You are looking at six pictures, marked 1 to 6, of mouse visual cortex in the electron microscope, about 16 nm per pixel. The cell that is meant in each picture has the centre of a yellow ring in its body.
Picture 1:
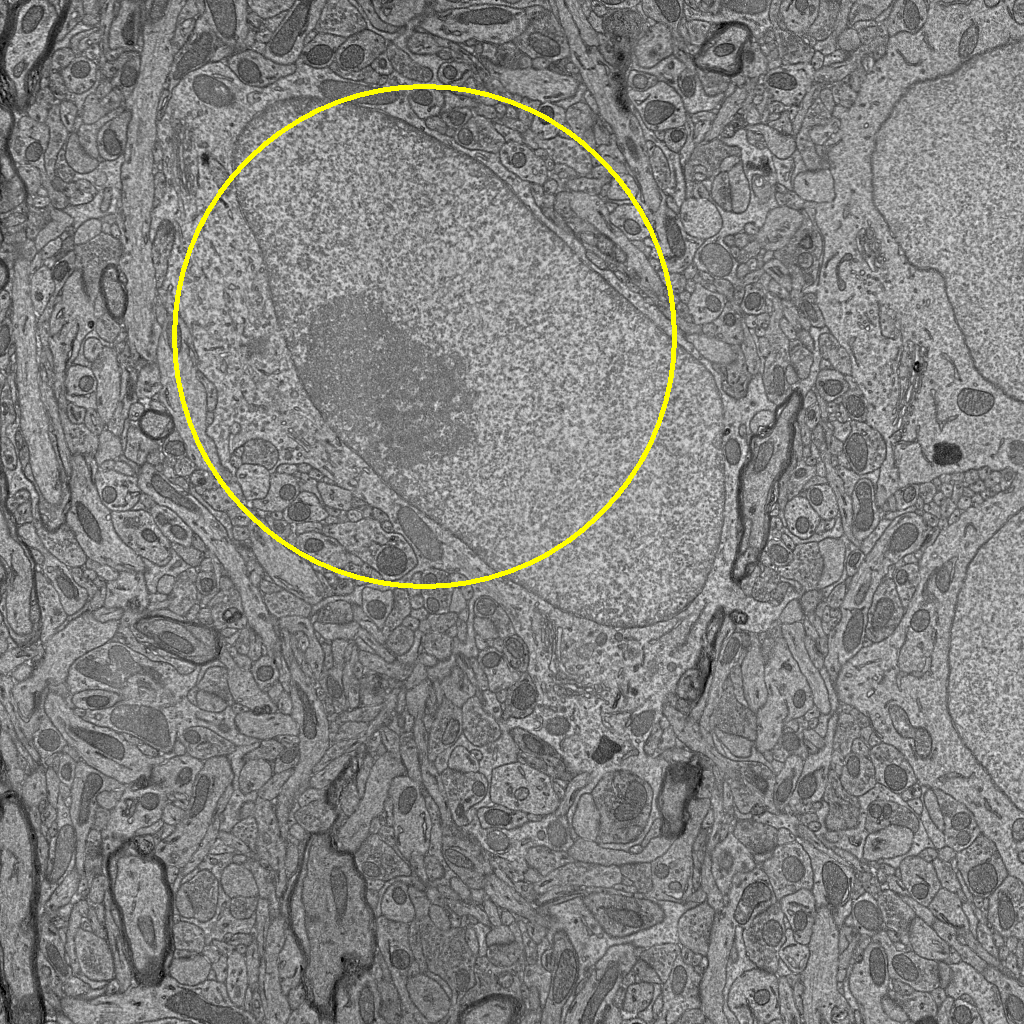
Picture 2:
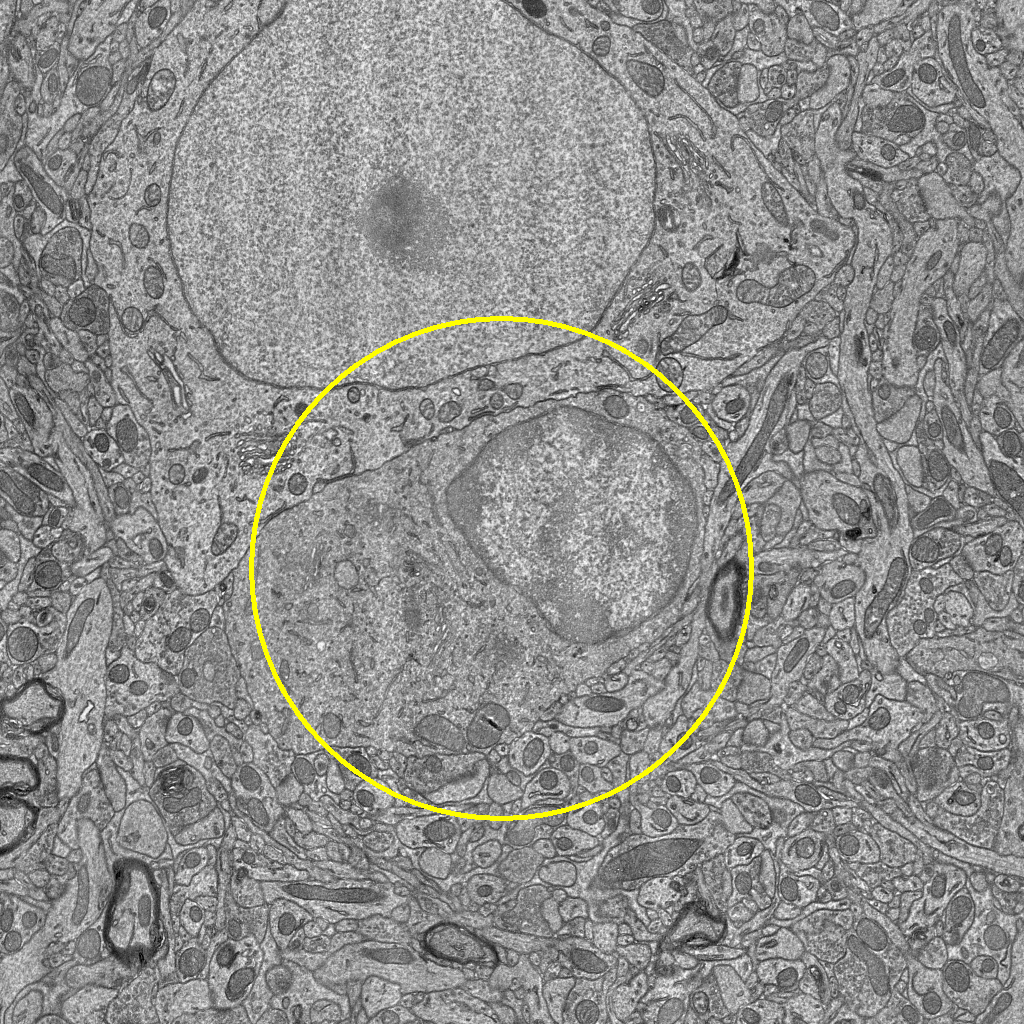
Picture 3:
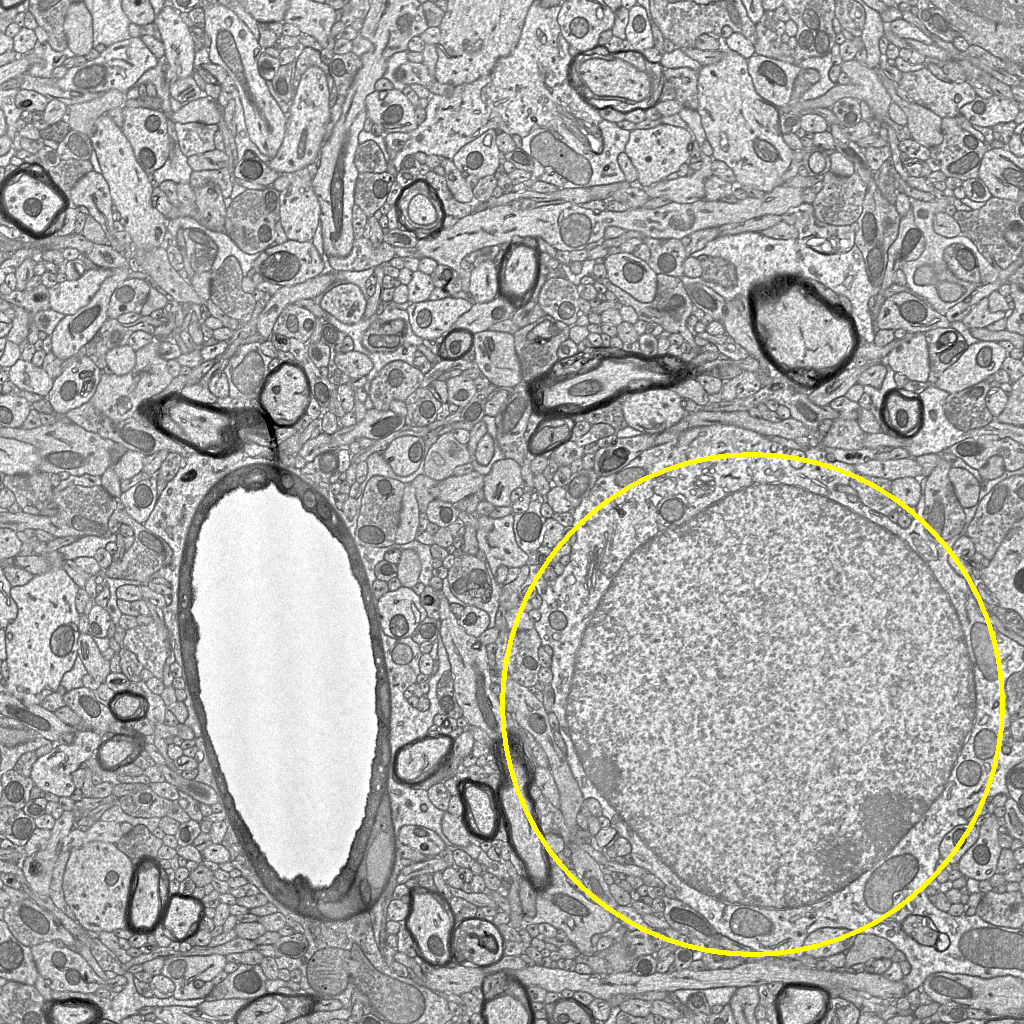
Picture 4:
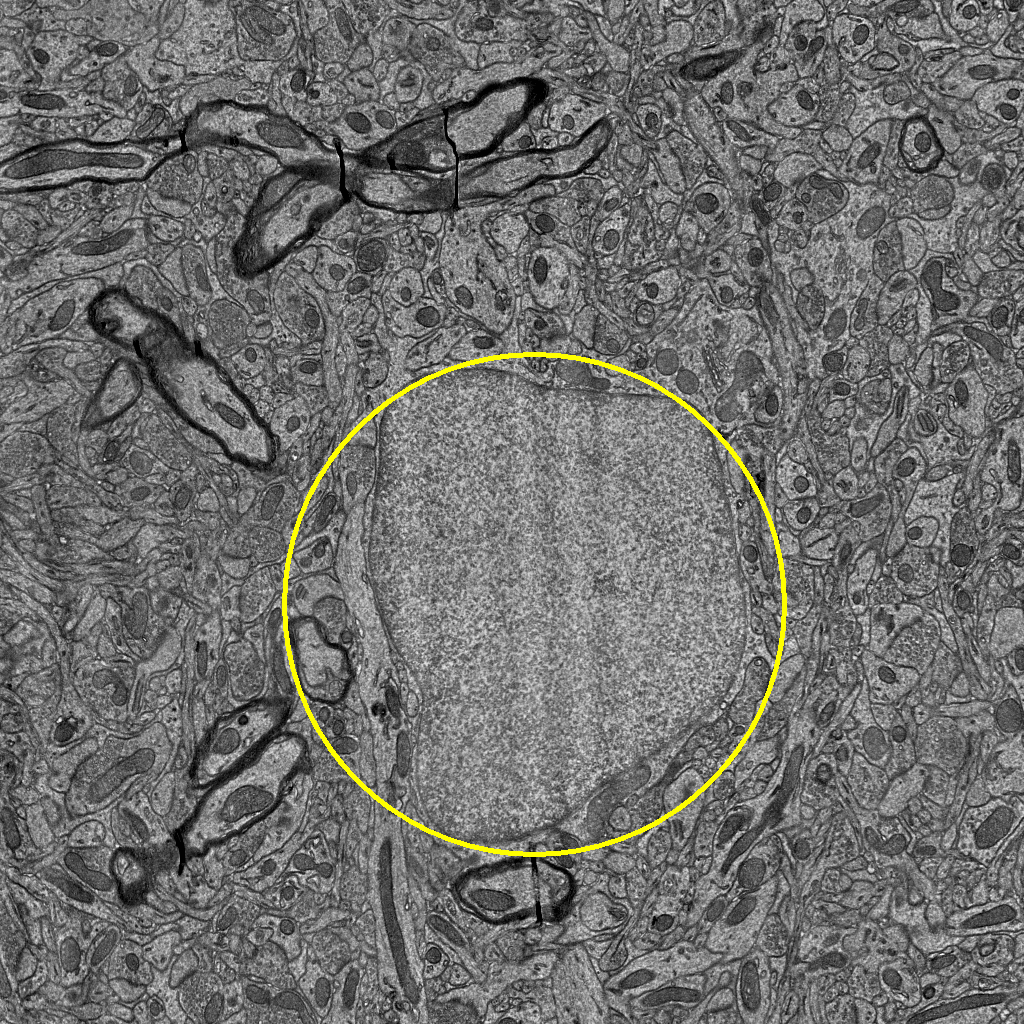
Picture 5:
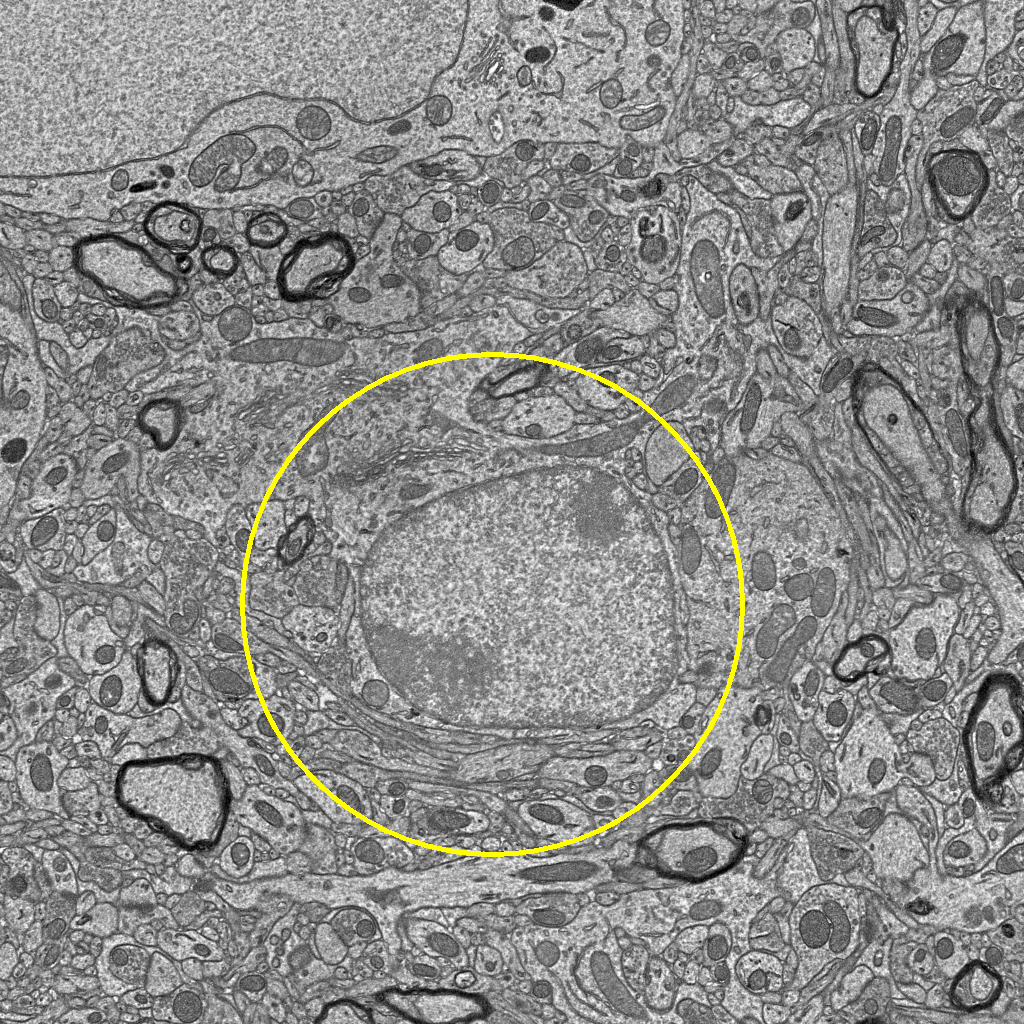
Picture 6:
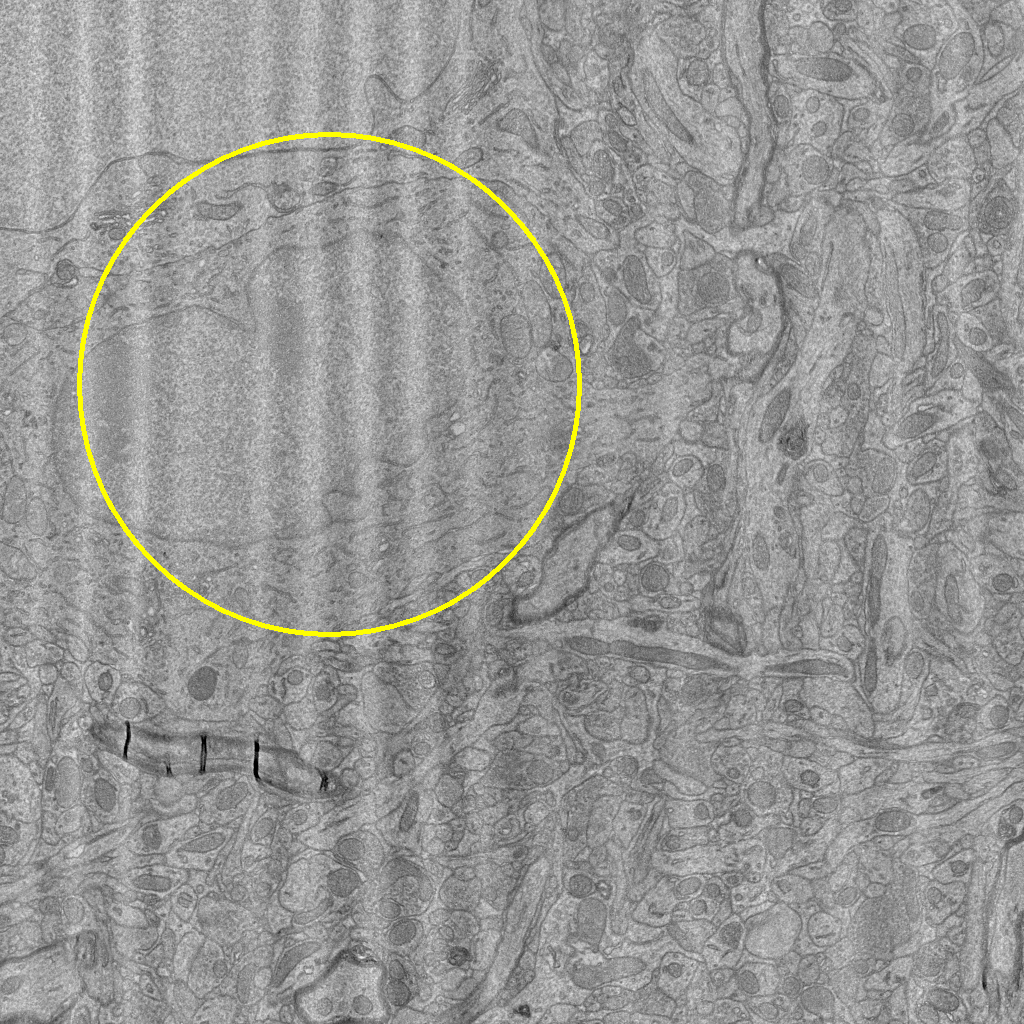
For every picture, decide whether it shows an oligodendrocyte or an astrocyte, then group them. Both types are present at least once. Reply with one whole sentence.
Pictures 2 and 6 show oligodendrocytes; pictures 1, 3, 4 and 5 show astrocytes.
